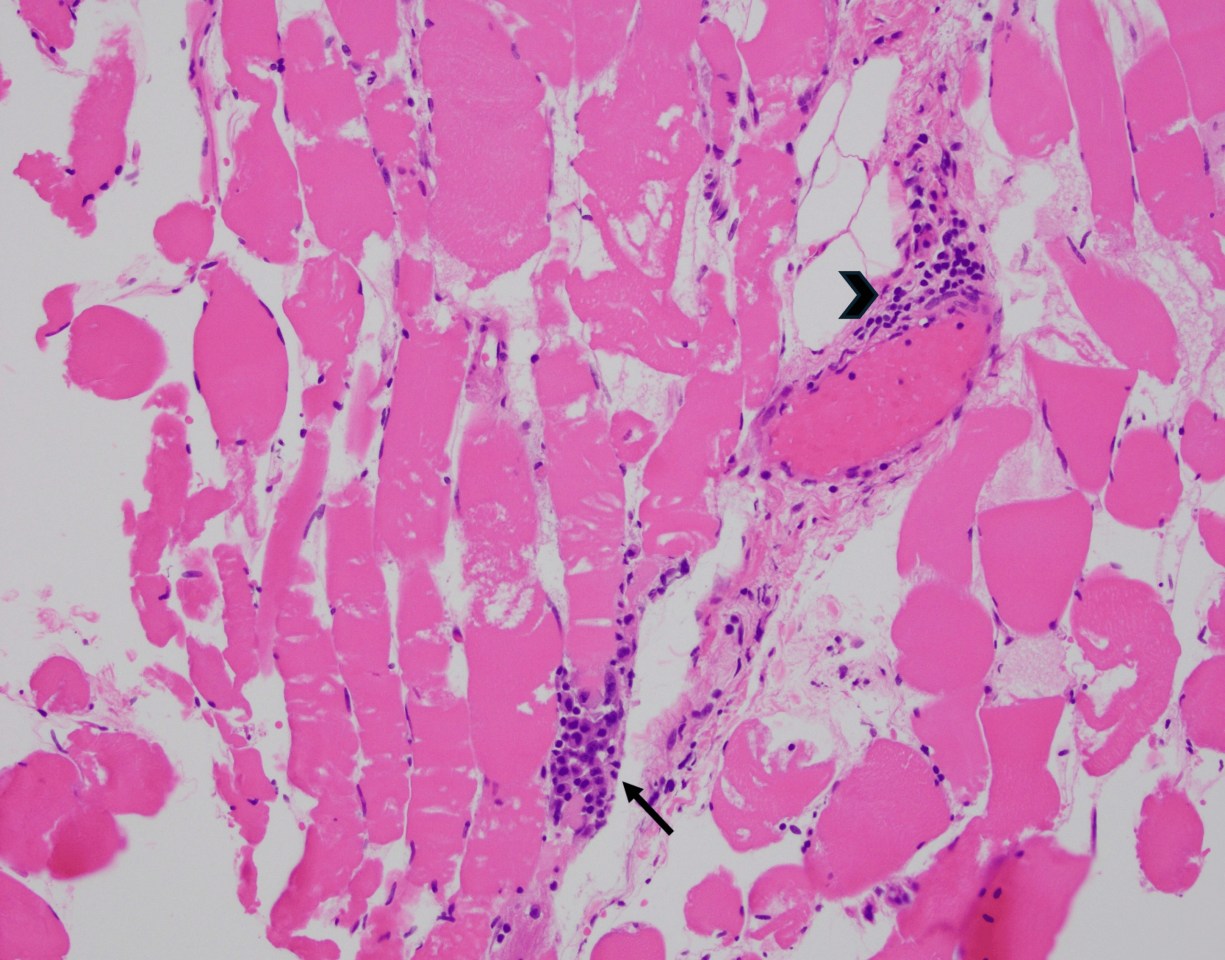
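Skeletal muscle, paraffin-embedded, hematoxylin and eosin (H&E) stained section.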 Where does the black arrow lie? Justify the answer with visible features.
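A tight cluster of small, dark, round nuclei lies in the narrow space between muscle fibres. No vessel is seen at the centre of this cluster. The answer: endomysial.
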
